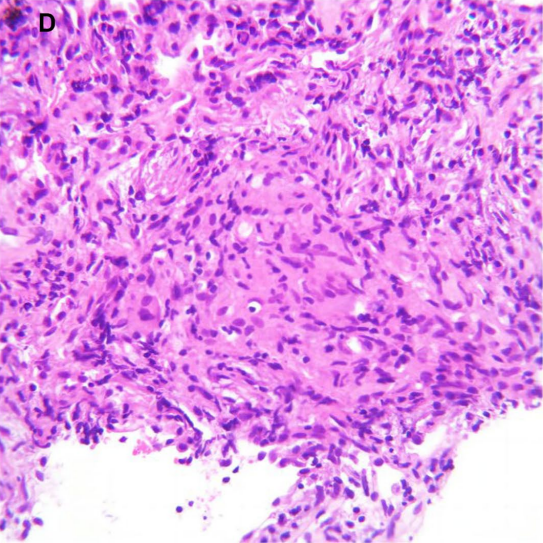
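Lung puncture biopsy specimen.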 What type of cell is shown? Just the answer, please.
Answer: epithelioid histiocytes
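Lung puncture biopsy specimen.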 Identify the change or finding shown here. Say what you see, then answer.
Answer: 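Scattered small round dark-staining nuclei with scant cytoplasm. They are most frequent at the upper and lower edges of the tissue.
Answer: a small amount of lymphocytic infiltration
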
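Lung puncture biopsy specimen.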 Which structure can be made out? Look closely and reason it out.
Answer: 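A central rounded aggregate of pink cells with pale elongated nuclei. No area of necrotic debris within the aggregate. The answer: non-necrotic epithelioid granuloma.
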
